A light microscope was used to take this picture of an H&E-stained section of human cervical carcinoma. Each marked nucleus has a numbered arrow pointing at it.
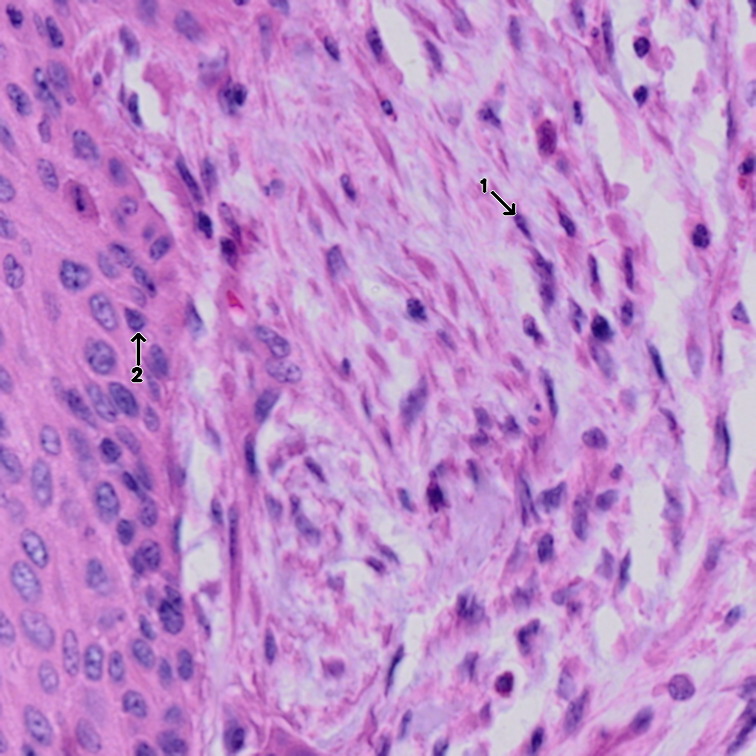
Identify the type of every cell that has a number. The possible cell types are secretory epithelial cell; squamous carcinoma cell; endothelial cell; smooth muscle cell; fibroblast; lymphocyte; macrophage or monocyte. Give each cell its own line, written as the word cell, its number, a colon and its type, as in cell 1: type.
cell 1: fibroblast
cell 2: squamous carcinoma cell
